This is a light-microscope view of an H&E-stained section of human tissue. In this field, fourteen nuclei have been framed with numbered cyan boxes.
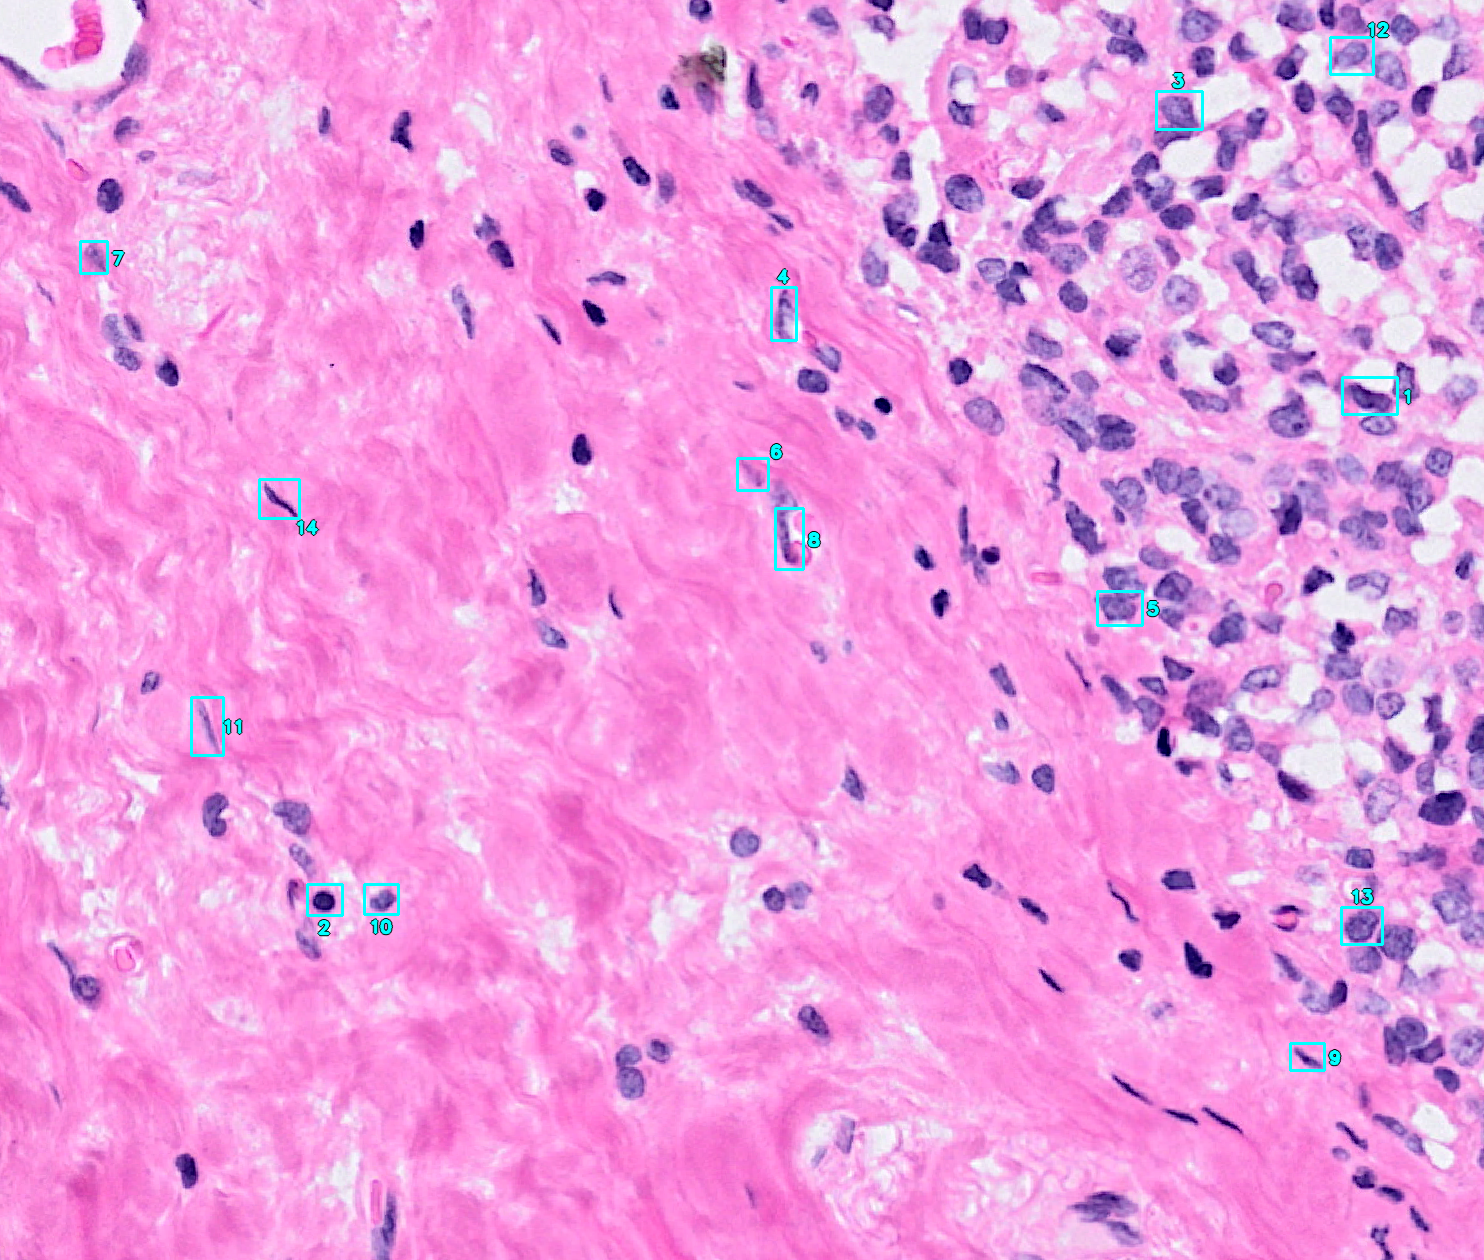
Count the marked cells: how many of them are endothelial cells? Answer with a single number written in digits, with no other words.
2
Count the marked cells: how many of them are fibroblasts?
5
